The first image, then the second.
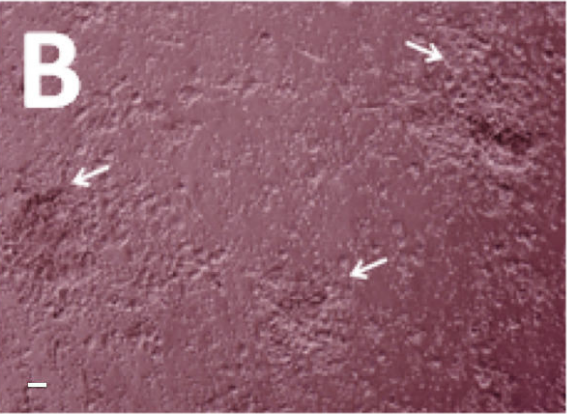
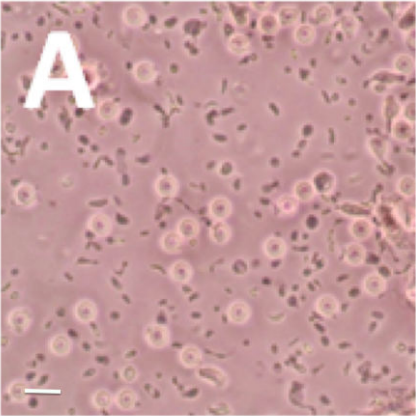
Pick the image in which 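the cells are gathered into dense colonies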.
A: The first image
